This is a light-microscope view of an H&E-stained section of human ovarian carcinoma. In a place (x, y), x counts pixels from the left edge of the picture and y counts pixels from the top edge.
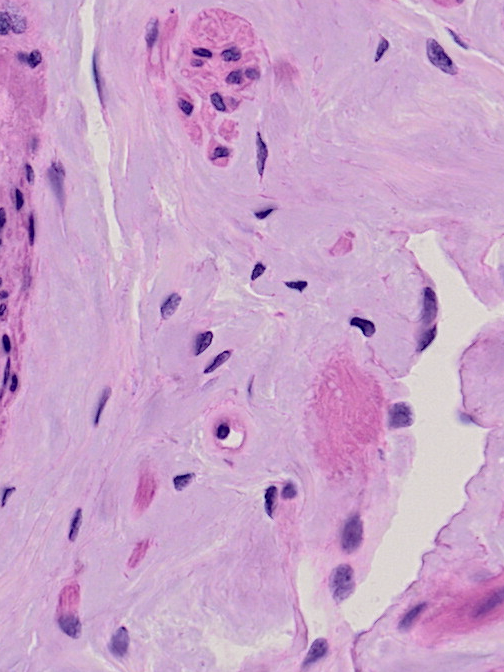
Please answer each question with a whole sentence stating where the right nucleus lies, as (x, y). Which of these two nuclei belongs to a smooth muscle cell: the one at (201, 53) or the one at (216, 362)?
Which one belongs to a smooth muscle cell? The nucleus at (201, 53) does.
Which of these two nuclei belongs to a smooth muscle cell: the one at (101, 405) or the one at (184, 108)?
The pair contains one nucleus of a smooth muscle cell, namely the one at (184, 108).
